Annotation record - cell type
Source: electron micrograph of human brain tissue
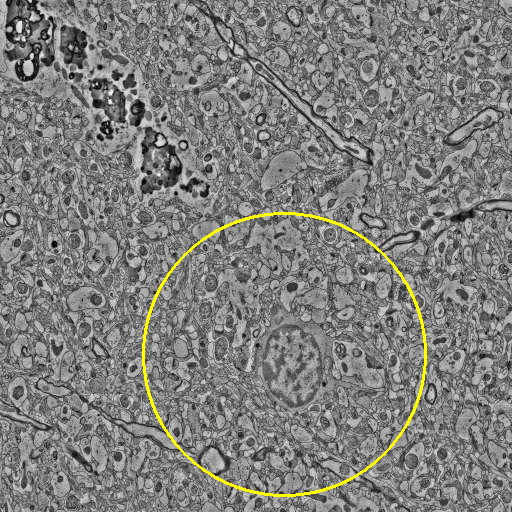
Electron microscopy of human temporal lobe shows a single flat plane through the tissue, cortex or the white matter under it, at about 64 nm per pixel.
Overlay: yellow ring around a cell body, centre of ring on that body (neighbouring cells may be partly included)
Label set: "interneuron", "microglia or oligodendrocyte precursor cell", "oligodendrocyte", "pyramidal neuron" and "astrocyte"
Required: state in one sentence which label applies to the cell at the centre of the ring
This cell should be labelled as an oligodendrocyte.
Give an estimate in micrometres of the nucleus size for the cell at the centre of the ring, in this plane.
Approximately 5 micrometres long and 4 micrometres wide, in this plane.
